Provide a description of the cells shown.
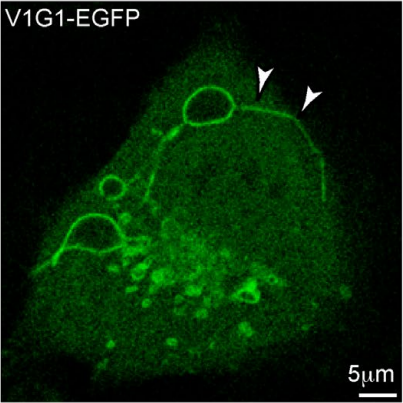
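Here one cell shows a diffuse green haze over its cytoplasm, with several round vacuoles outlined by brighter green rims. A long, thin curved tubule leaves the rim of a small vacuole near the top and runs across the cell, marked by the arrowheads. Further vacuoles with bright outlines lie toward the left and bottom, and a cluster of small rings and dots sits lower in the cell.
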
